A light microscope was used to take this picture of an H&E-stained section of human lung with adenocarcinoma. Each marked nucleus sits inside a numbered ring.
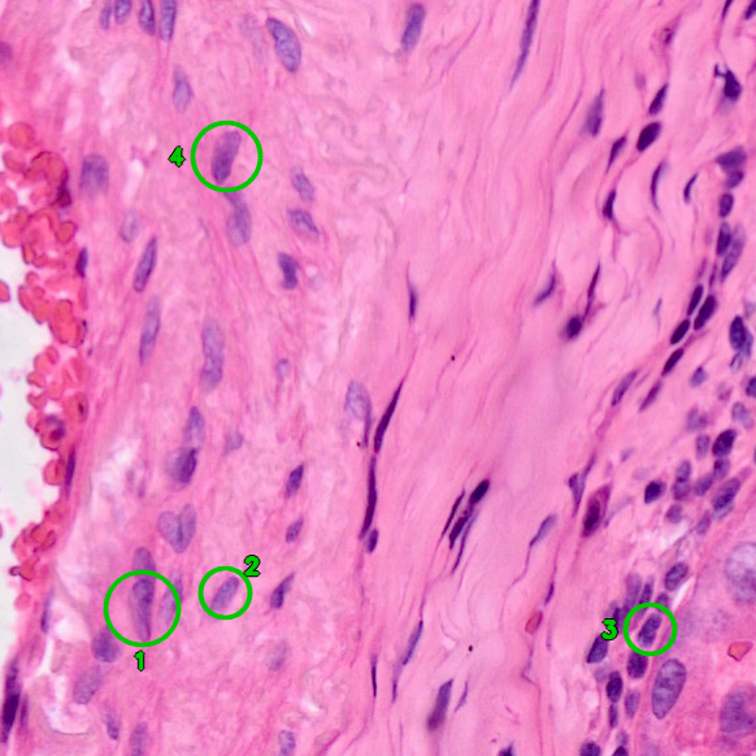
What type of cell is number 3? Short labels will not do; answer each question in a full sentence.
As for number 3, that cell is a lymphocyte.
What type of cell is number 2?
The cell referred to as 2 is a smooth muscle cell or pericyte.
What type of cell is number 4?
The cell that carries the label 4 is a smooth muscle cell or pericyte.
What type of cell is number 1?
Belonging to a smooth muscle cell or pericyte is the nucleus that carries the number 1.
